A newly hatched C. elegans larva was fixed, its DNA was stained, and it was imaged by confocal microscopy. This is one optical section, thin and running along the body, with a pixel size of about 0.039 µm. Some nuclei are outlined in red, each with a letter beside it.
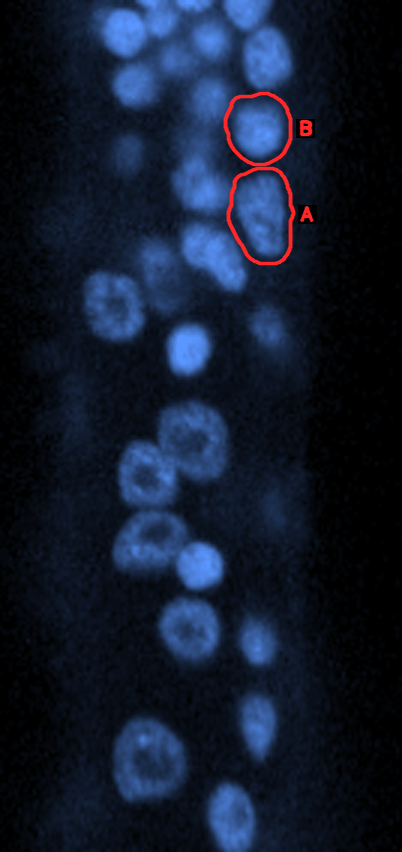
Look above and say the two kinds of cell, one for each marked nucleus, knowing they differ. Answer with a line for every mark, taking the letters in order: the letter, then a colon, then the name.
A: body wall muscle cell
B: neuron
